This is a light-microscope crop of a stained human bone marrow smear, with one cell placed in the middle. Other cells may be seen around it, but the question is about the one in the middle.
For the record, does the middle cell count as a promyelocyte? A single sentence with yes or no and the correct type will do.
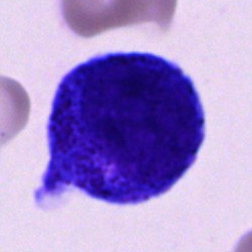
Yes, at the centre of the crop lies a promyelocyte.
